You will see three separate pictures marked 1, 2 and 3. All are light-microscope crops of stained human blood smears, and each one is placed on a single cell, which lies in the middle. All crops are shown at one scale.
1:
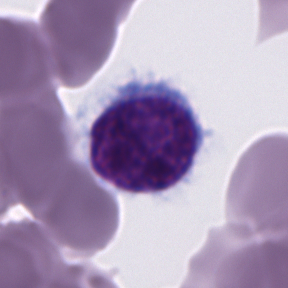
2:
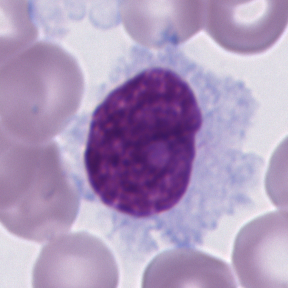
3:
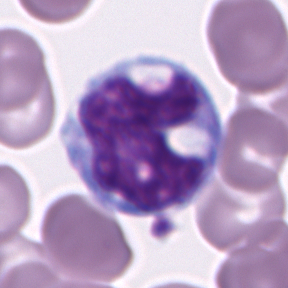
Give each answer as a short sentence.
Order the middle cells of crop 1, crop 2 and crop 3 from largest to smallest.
The order is 2, 3, 1, beginning with the largest.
